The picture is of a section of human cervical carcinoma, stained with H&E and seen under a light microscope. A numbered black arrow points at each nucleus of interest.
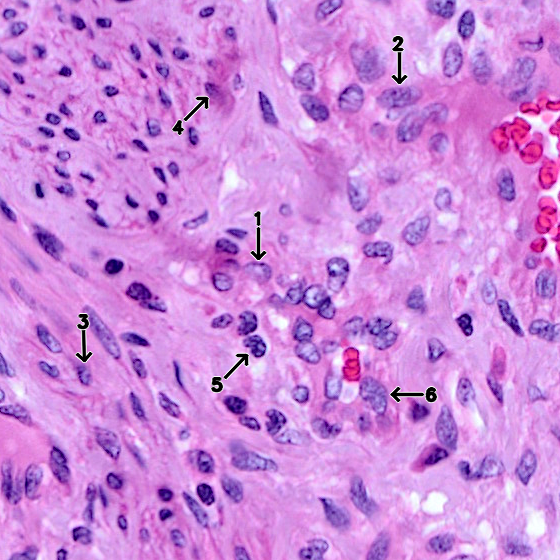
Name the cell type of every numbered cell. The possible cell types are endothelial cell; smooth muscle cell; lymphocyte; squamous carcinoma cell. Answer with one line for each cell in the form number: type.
1: endothelial cell
2: endothelial cell
3: smooth muscle cell
4: smooth muscle cell
5: lymphocyte
6: endothelial cell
